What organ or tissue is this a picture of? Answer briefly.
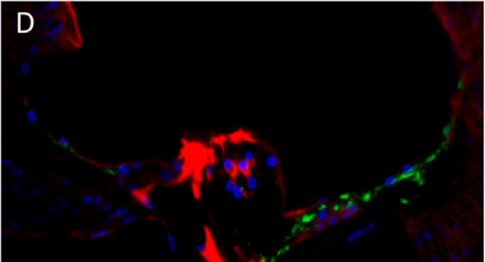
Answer: organ of Corti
